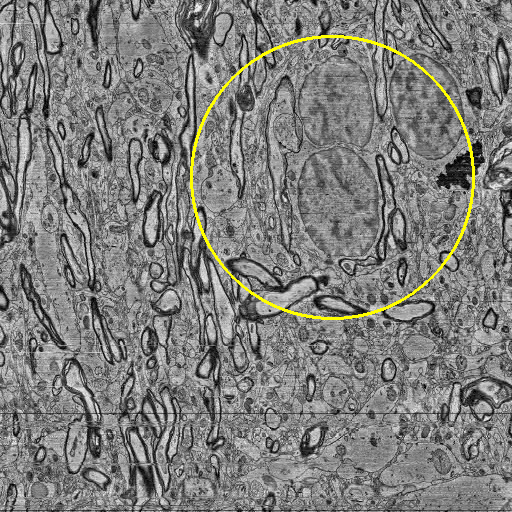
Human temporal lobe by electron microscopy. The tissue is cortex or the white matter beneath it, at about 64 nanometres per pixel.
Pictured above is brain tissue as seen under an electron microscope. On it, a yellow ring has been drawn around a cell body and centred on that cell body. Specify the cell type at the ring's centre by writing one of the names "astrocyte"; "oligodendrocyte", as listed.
oligodendrocyte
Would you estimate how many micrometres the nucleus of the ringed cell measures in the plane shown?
About 8 by 6 micrometres in this plane.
